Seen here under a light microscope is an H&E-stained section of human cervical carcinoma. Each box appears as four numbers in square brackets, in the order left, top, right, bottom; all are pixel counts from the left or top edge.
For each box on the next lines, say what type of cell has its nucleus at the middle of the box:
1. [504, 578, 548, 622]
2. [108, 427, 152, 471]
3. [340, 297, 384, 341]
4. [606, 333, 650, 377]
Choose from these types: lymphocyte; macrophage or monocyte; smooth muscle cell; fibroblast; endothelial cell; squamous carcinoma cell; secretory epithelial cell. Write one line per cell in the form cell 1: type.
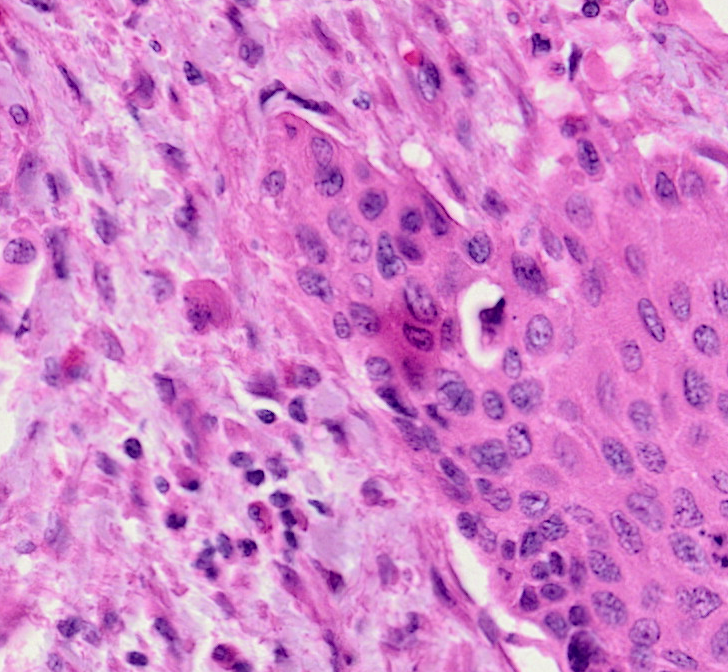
cell 1: squamous carcinoma cell
cell 2: lymphocyte
cell 3: squamous carcinoma cell
cell 4: squamous carcinoma cell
